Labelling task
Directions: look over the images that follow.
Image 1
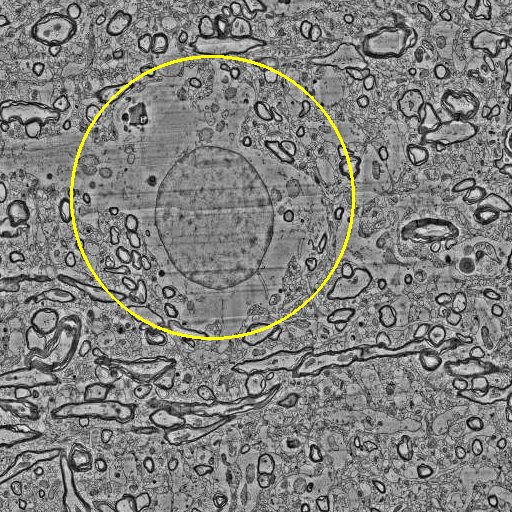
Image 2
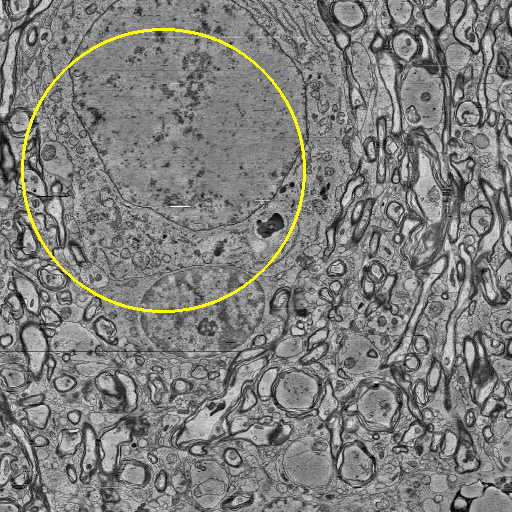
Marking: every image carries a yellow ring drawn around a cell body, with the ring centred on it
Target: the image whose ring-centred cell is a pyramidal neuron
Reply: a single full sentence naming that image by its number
The requested cell sits at the ring's centre in Image 2.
